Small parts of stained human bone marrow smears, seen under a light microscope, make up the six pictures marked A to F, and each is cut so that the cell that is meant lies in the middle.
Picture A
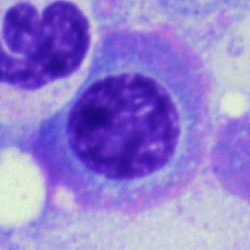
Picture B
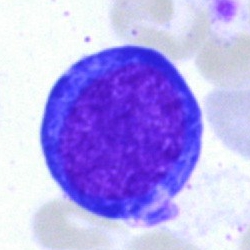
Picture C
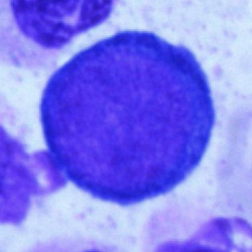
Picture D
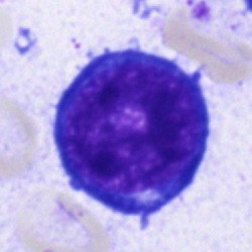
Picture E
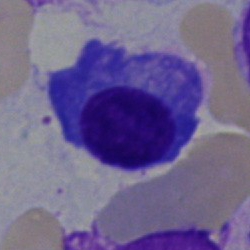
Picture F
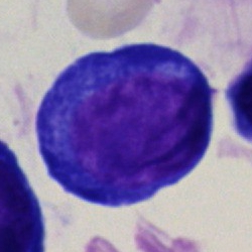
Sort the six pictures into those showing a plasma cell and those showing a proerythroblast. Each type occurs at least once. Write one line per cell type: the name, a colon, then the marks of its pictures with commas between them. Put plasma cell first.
plasma cell: A, E
proerythroblast: B, C, D, F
